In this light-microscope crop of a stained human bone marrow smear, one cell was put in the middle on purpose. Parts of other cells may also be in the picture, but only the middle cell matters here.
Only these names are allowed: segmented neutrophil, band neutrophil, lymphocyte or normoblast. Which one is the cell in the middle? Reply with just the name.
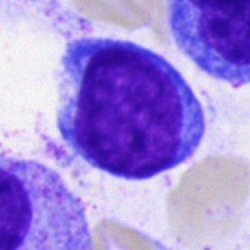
lymphocyte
